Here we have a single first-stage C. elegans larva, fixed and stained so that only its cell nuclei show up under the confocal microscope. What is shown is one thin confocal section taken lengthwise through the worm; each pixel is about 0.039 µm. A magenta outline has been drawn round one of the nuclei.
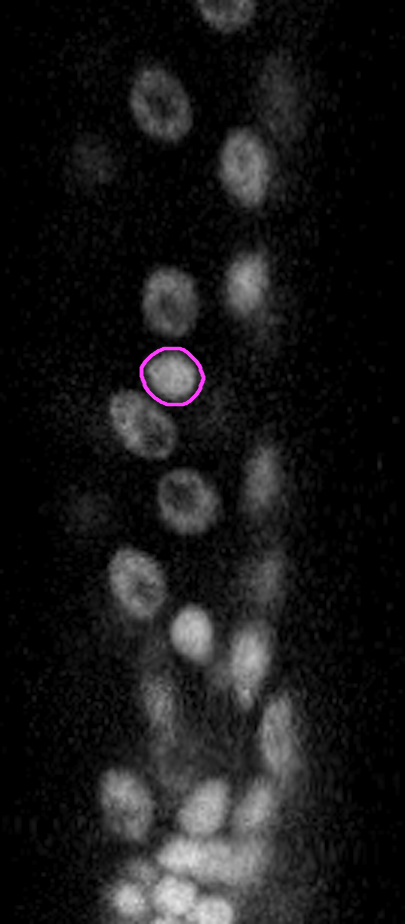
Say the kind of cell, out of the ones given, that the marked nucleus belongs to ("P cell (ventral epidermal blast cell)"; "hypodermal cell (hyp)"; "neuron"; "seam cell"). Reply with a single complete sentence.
What is marked is the nucleus of a neuron.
